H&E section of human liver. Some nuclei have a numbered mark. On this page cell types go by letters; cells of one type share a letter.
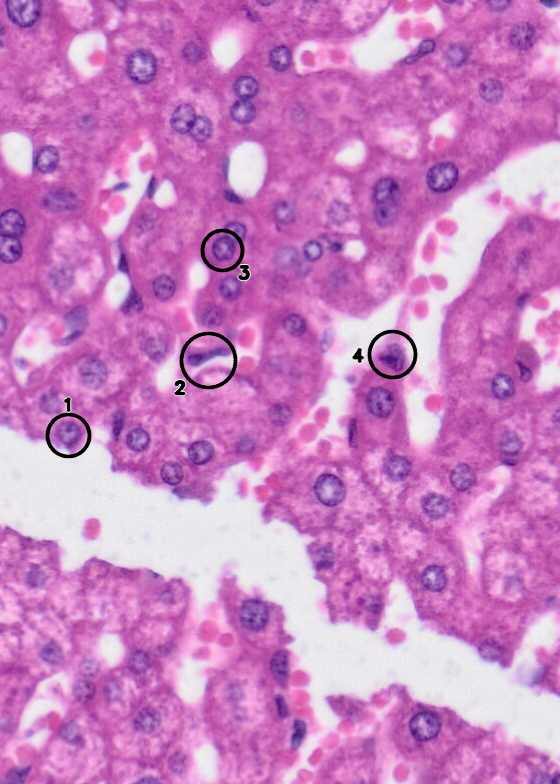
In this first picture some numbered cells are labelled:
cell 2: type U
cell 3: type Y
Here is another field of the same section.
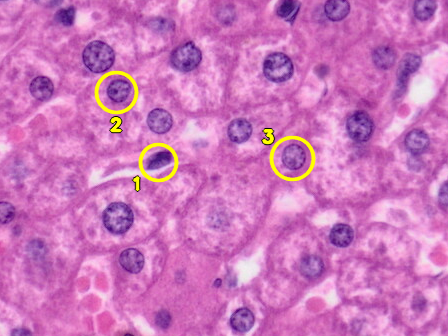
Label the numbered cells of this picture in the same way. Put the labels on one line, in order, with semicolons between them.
type U; type Y; type Y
